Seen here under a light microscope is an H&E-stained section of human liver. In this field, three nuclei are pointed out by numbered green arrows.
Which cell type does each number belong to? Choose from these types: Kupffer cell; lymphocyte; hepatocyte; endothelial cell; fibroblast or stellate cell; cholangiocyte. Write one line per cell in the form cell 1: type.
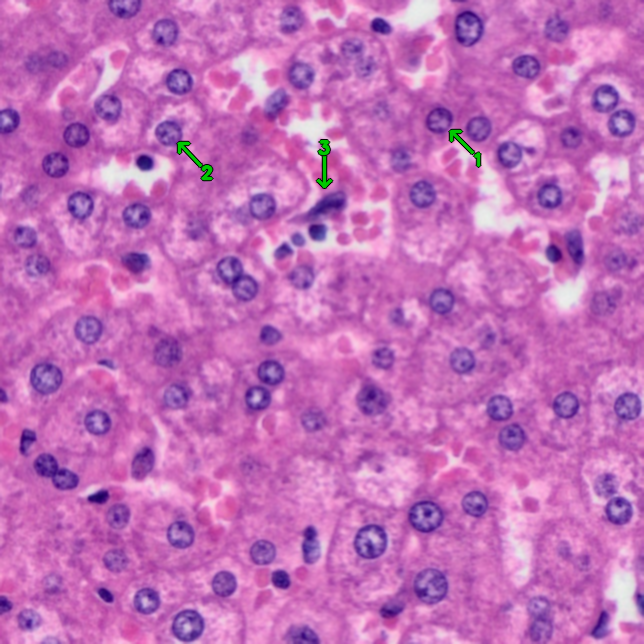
cell 1: hepatocyte
cell 2: hepatocyte
cell 3: Kupffer cell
